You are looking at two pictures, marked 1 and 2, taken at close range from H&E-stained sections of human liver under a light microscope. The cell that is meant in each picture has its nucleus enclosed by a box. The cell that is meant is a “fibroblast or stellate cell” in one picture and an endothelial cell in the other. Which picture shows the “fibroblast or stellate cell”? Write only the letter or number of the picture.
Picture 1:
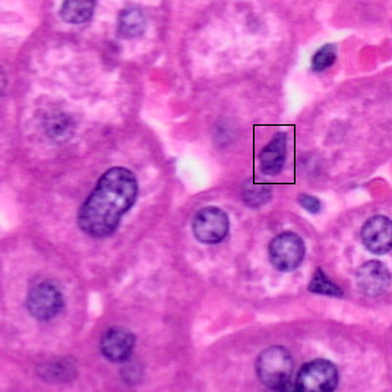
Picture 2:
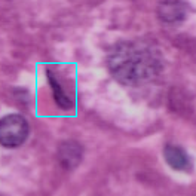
1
